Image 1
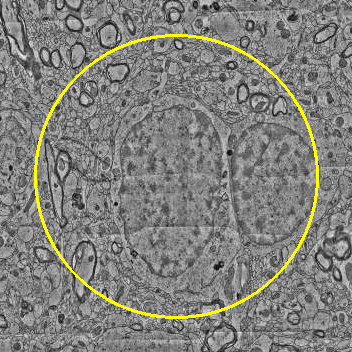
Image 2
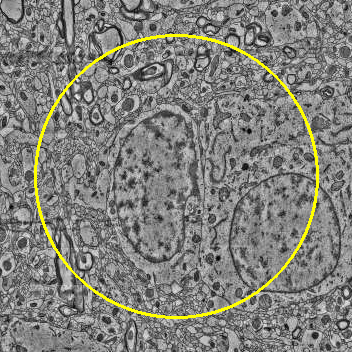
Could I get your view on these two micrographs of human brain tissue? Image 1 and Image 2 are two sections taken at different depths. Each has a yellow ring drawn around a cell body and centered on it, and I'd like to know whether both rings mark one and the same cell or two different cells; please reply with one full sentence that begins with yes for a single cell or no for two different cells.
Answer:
Yes, what the two rings mark is one cell.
